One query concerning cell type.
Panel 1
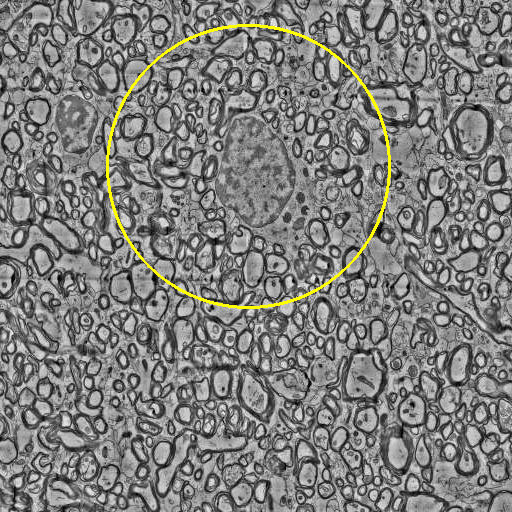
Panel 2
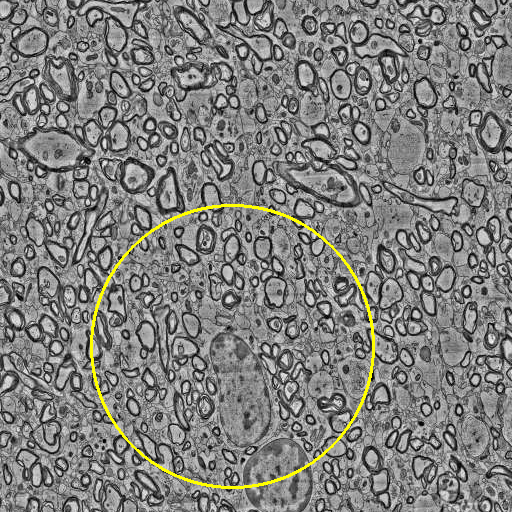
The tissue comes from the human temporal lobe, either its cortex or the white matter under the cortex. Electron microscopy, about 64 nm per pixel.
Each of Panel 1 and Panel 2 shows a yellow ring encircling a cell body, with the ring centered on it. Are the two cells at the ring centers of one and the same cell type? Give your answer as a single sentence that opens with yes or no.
No, the cell centered in Panel 1 and the one in Panel 2 are of two types.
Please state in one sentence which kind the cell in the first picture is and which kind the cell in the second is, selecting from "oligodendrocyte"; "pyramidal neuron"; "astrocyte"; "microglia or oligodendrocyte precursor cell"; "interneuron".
The first ringed cell is an oligodendrocyte, the second ringed cell a microglial cell or oligodendrocyte precursor cell.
